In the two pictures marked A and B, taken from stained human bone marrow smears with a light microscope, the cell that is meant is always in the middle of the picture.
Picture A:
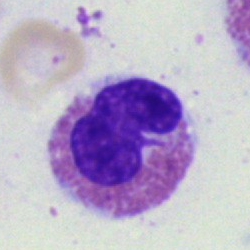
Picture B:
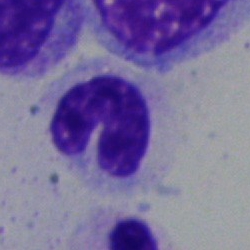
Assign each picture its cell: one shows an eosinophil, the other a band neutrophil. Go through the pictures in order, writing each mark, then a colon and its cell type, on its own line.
A: eosinophil
B: band neutrophil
